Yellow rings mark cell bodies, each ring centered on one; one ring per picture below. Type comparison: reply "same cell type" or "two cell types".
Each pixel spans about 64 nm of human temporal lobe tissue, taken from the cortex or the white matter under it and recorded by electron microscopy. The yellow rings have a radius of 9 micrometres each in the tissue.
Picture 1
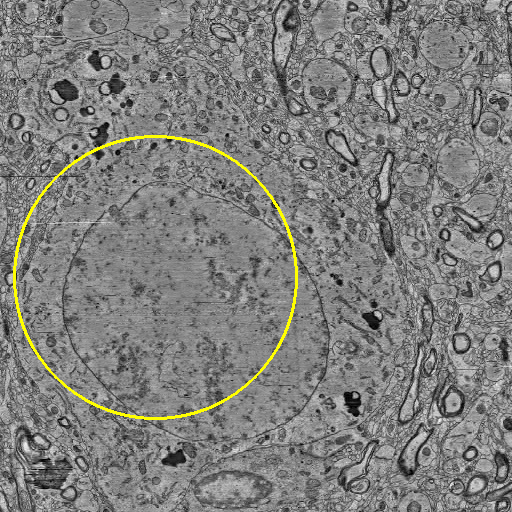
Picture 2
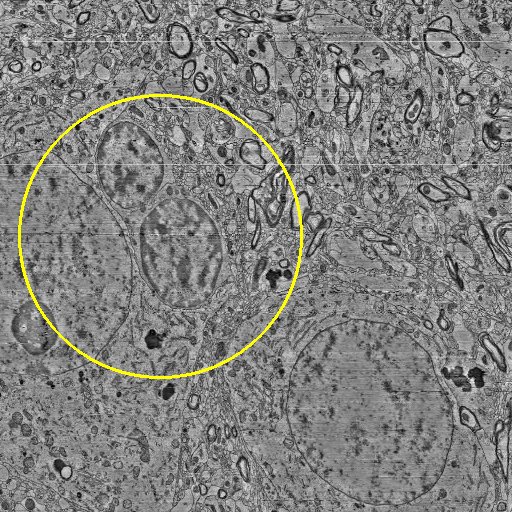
two cell types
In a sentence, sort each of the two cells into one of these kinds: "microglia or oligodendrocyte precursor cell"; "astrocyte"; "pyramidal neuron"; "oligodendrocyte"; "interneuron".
The first of the two cells is a pyramidal neuron, and the second is an oligodendrocyte.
